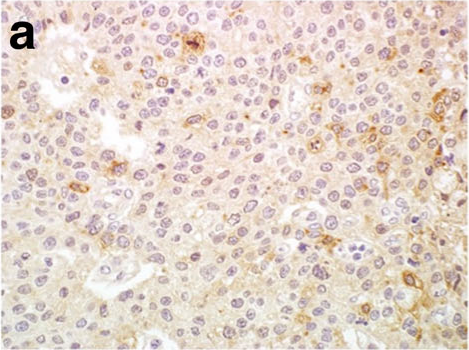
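A solid sheet of crowded tumor cells is shown, with round to oval nuclei of somewhat varying size. The cytoplasm throughout has a faint diffuse tan to brown tint. Scattered cells and small clusters show stronger brown cytoplasmic staining. The nuclei stay mostly blue-grey from the counterstain. A few small clear spaces, some vessel-like, lie between the cells.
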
